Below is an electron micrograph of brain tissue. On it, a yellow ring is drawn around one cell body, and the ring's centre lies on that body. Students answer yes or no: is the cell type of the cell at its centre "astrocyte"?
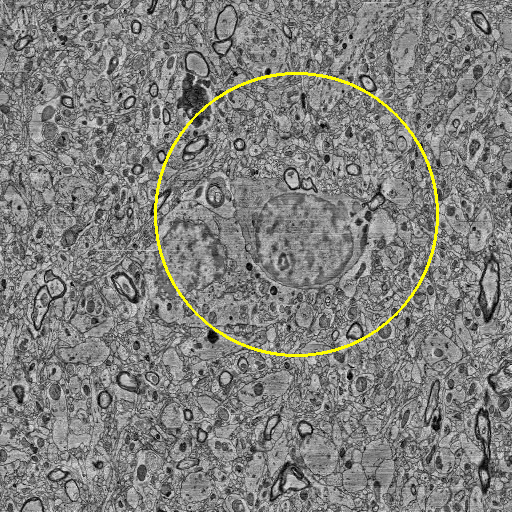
no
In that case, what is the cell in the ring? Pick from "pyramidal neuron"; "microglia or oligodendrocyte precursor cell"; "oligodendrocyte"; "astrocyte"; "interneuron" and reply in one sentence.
What the ring encloses here is an oligodendrocyte.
